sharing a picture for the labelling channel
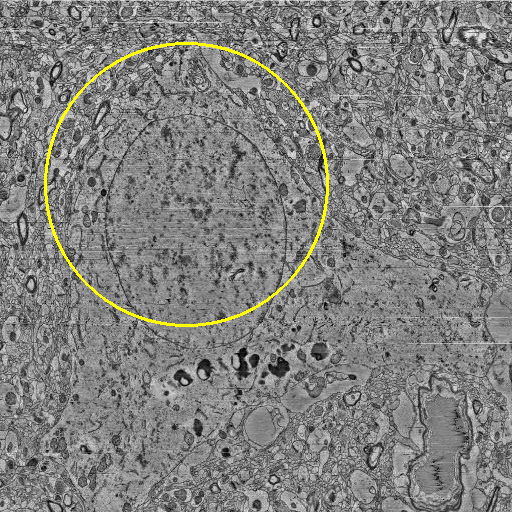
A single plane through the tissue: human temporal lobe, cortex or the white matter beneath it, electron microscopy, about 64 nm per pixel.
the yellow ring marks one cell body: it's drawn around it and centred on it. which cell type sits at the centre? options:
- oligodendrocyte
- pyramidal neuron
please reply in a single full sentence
In the picture, the cell at the ring's centre is a pyramidal neuron, going by the list.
